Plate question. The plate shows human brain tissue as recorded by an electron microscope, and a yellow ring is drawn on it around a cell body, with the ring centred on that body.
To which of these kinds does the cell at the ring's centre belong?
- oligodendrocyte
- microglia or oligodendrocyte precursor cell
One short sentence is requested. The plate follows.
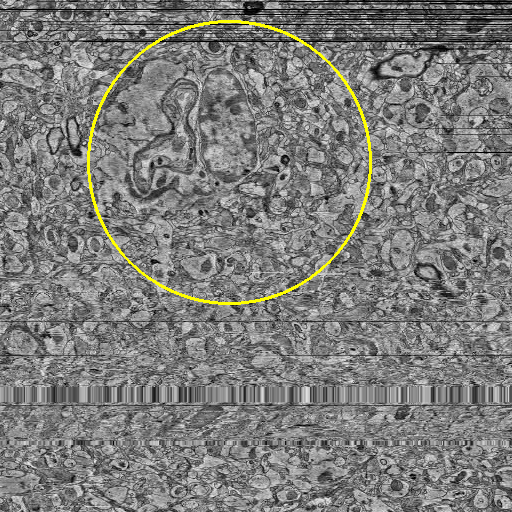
The cell at the ring's centre is a microglial cell or oligodendrocyte precursor cell.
